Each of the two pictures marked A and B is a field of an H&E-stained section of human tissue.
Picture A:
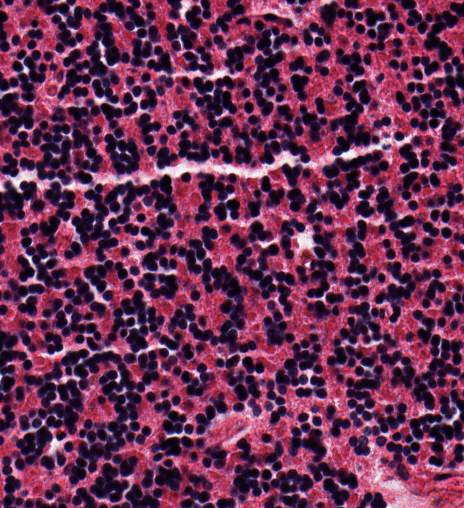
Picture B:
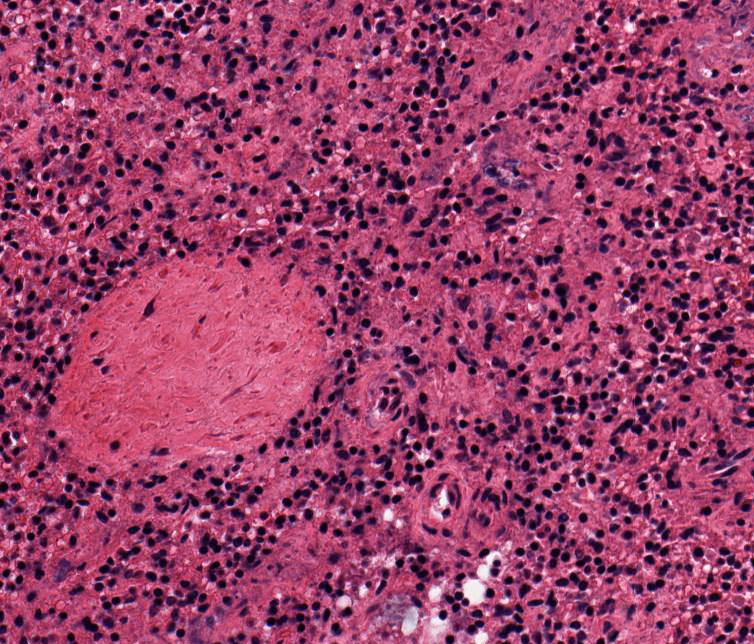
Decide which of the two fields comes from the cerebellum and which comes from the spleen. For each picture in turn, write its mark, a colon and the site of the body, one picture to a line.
A: cerebellum
B: spleen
